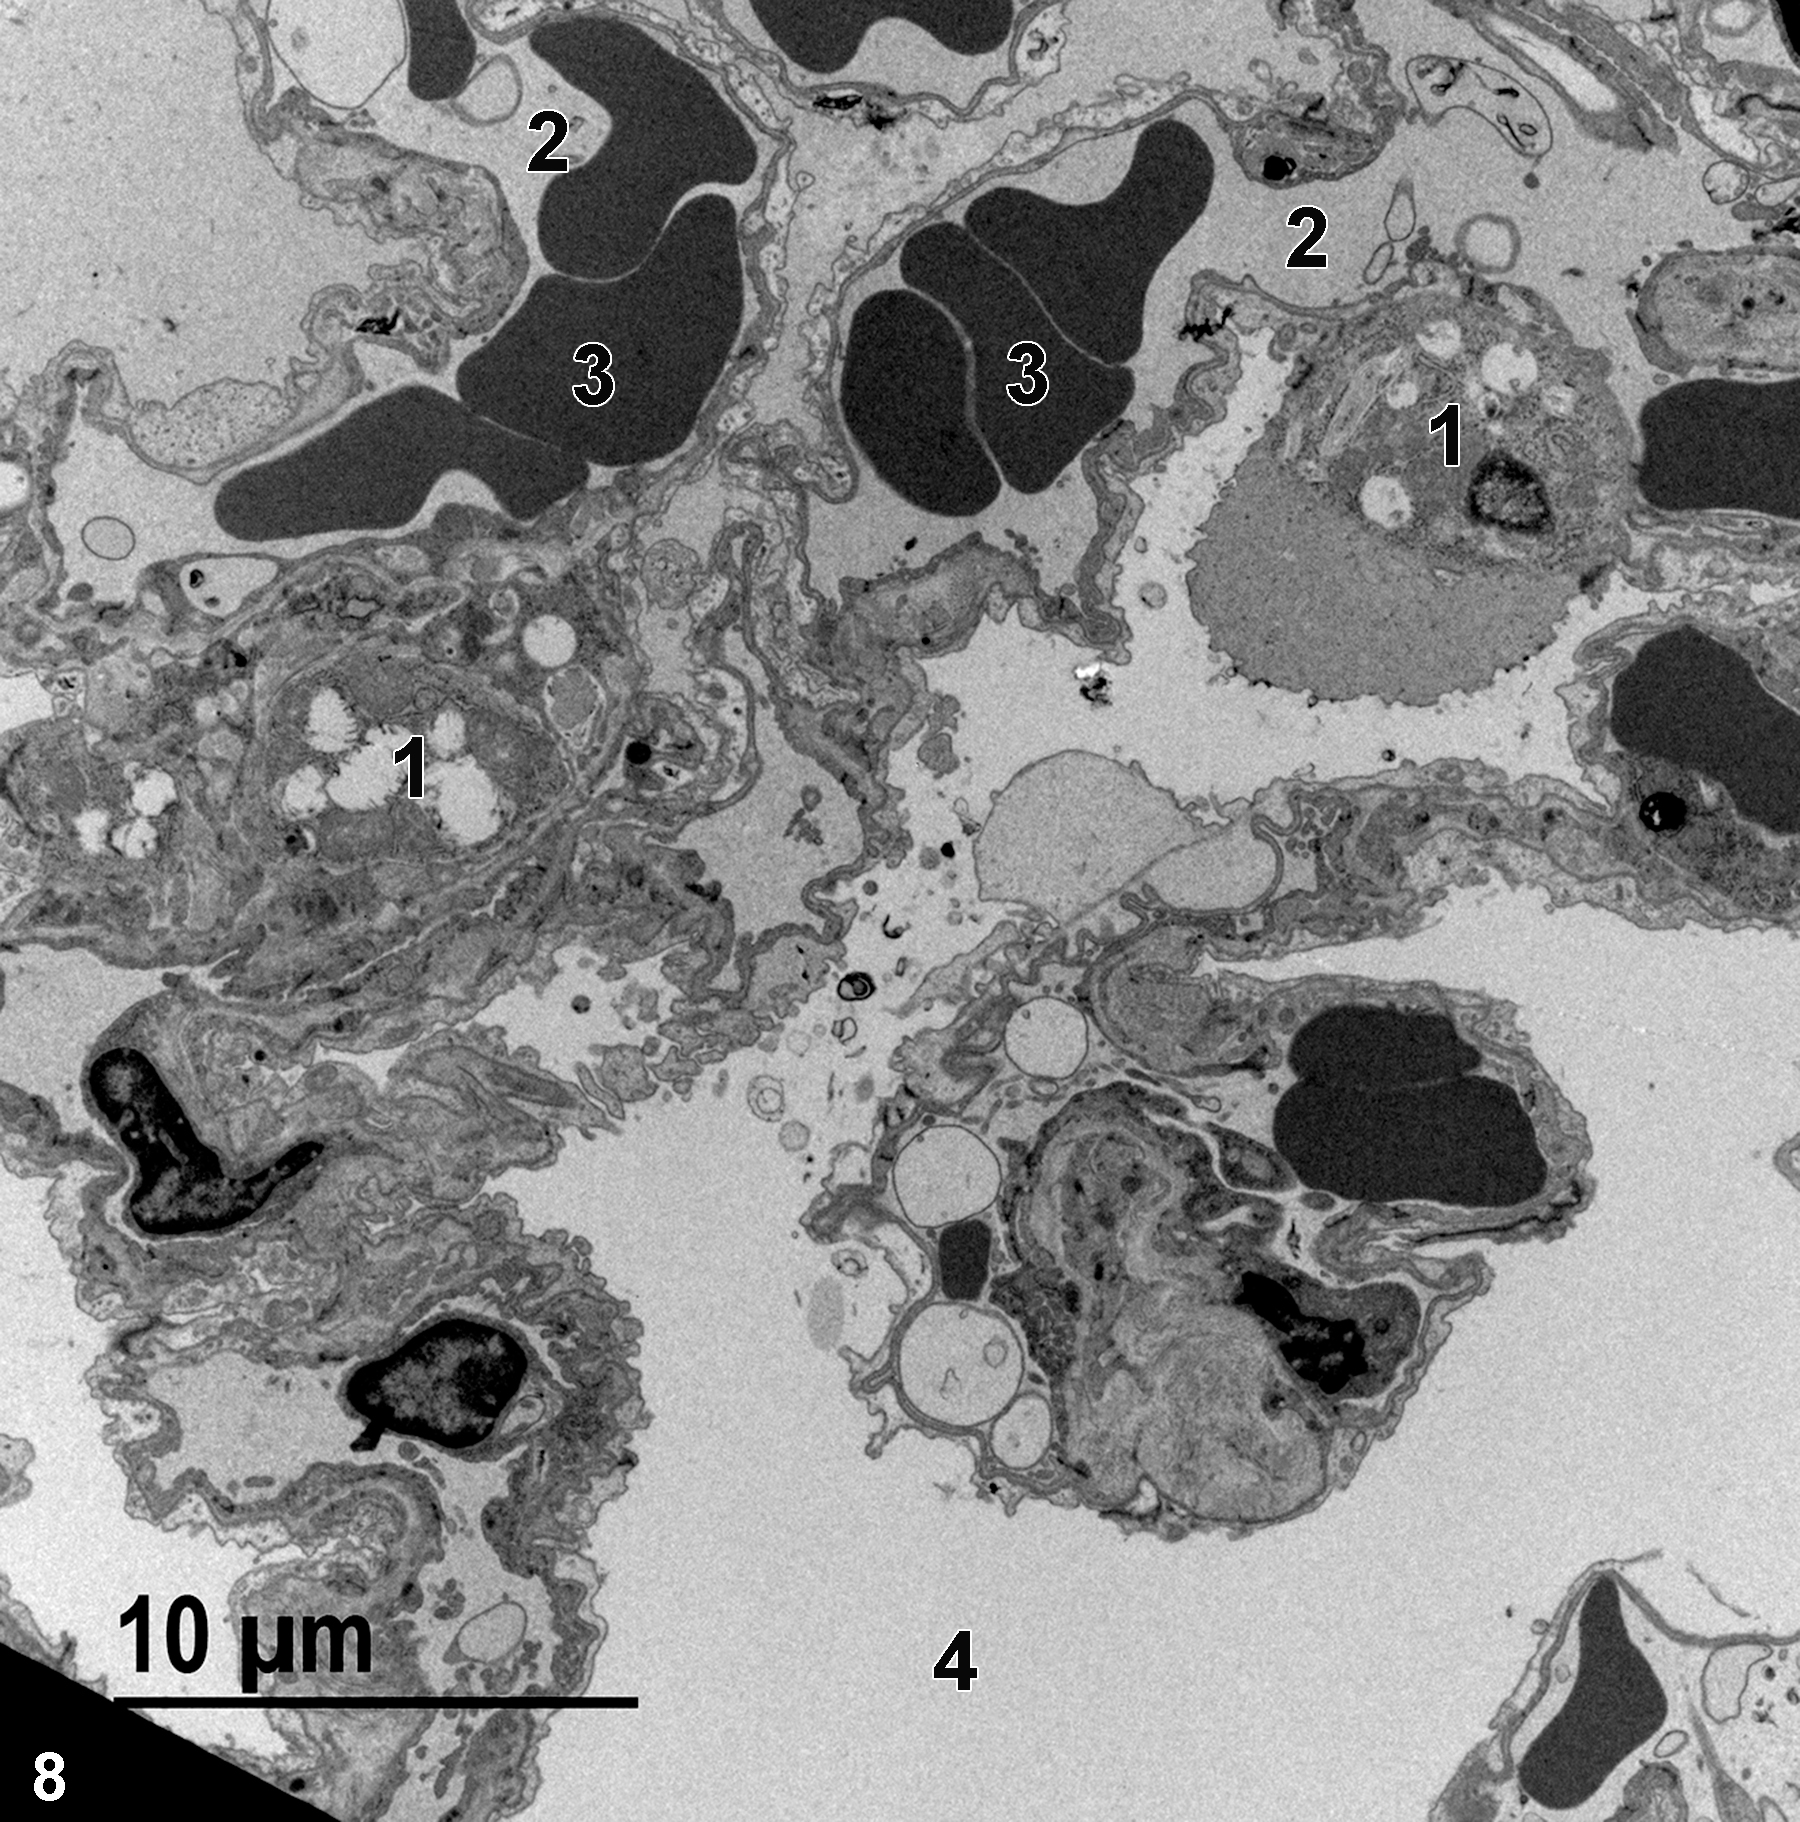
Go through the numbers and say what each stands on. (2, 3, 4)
2: capillaries
3: erythrocytes
4: airway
